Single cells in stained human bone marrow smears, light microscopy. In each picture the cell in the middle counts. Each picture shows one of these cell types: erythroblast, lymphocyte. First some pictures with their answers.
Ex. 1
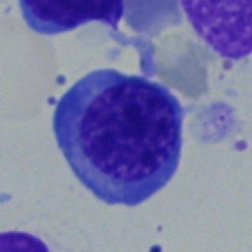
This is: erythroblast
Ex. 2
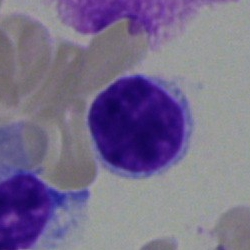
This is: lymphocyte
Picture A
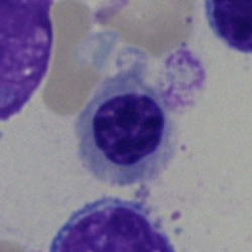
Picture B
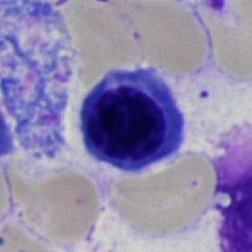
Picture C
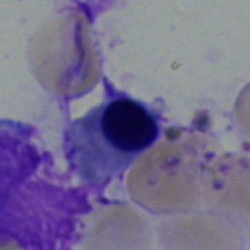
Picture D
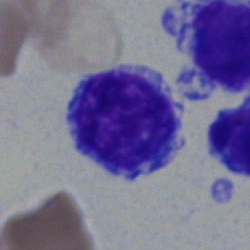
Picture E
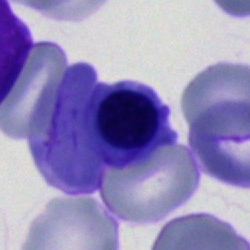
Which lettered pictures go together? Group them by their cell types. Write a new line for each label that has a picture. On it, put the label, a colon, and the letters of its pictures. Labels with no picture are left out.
erythroblast: A, B, C, E
lymphocyte: D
